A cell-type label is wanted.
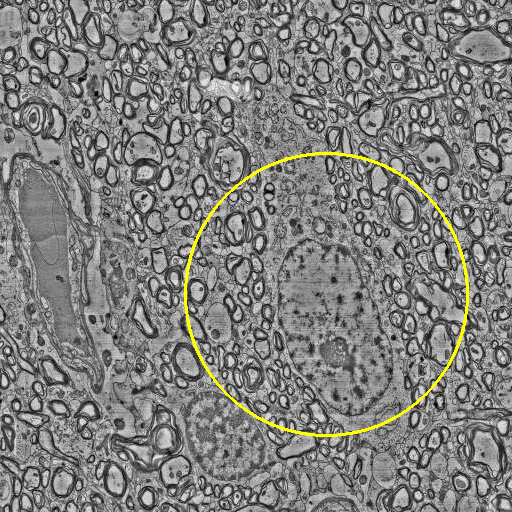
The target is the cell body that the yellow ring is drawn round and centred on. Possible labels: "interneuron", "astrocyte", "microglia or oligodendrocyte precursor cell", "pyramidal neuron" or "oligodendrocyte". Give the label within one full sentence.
Of the labels offered, the cell in the middle of the yellow ring is an interneuron.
